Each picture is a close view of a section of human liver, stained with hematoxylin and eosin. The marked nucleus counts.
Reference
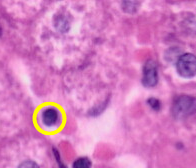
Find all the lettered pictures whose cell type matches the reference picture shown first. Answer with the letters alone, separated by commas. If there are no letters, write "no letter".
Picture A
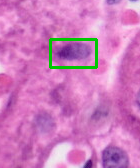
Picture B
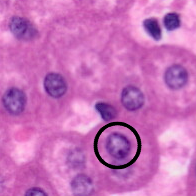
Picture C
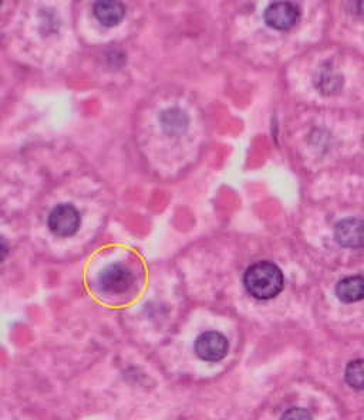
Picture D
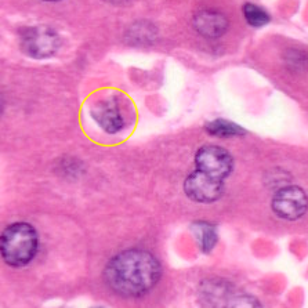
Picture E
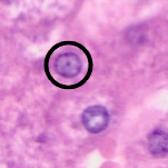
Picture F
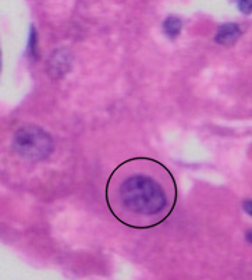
no letter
